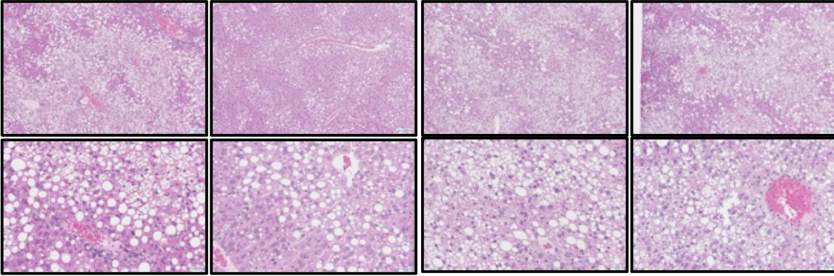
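These are sections of liver in which sheets of polygonal hepatocytes fill the field. The hepatocytes have round, centrally placed nuclei with dark purple chromatin and pink cytoplasm. Many hepatocytes contain clear, round vacuoles that range from small droplets to large spaces about the size of a cell. Small vessels filled with red blood cells run between the plates of cells. At low magnification the pale, vacuolated areas give the tissue a mottled appearance.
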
